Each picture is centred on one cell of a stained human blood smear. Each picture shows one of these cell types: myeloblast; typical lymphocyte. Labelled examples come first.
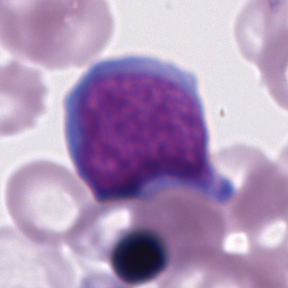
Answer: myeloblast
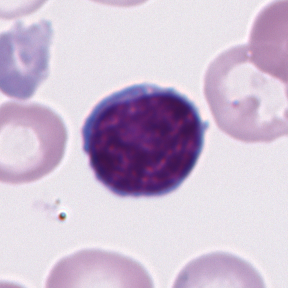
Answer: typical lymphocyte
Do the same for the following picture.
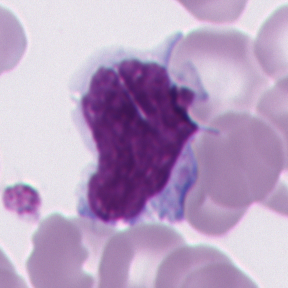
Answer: typical lymphocyte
